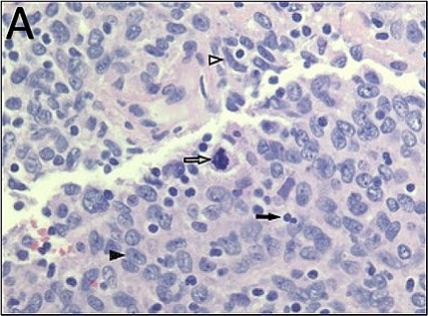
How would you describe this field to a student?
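Tumor tissue made of sheets of oval to spindled cells with pale, vesicular nuclei and finely dispersed chromatin, small nucleoli, and moderate pale pink cytoplasm with indistinct borders. A narrow clear cleft runs diagonally across the field. Scattered among the tumor cells are small round cells with dense dark nuclei, consistent with inflammatory cells. One cell has a dark, clumped, multilobed nuclear mass, much darker and larger than its neighbours. A few red blood cells lie along the cleft at the lower left. Pale pink acellular material lies in the upper part of the field.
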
